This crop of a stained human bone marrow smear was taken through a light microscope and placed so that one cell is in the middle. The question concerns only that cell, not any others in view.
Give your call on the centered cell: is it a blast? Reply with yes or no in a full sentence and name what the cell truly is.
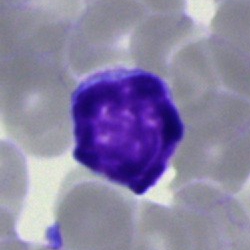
No, it is a lymphocyte, not a blast, that lies at the centre of the crop.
